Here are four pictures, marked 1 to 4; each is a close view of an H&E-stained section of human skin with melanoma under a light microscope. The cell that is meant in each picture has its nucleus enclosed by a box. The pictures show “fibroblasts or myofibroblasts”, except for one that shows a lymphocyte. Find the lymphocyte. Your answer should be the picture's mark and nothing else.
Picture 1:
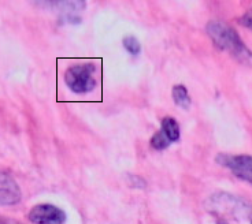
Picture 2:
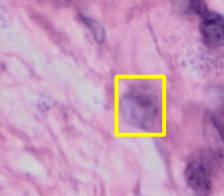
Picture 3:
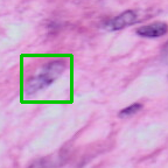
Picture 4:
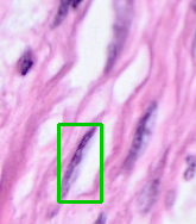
1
